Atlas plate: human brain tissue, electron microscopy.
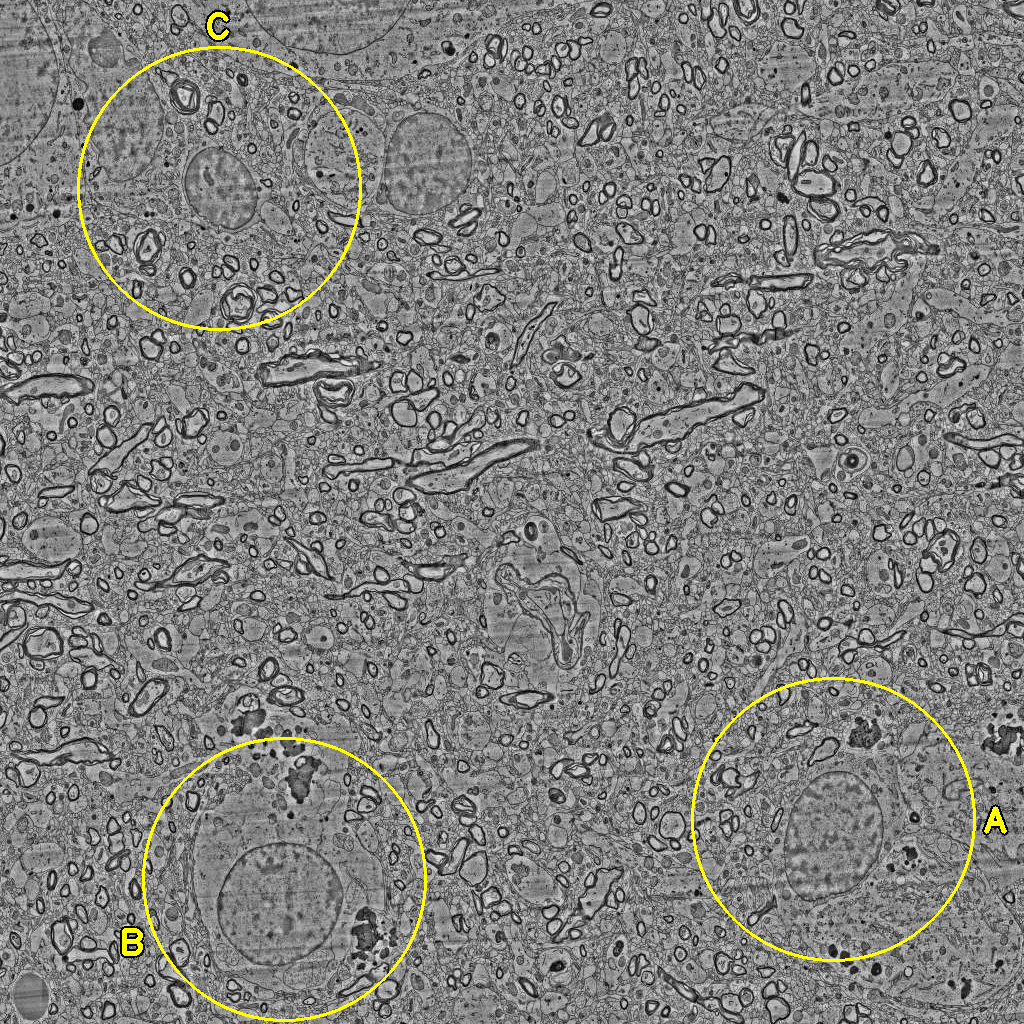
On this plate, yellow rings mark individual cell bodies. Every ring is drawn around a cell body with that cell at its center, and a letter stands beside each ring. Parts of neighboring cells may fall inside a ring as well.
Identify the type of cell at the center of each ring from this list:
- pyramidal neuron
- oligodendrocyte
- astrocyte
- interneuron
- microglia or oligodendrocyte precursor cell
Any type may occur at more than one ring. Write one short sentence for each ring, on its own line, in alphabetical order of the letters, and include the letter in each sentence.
At the center of ring A lies an oligodendrocyte.
At the center of ring B lies an astrocyte.
At the center of ring C lies an oligodendrocyte.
